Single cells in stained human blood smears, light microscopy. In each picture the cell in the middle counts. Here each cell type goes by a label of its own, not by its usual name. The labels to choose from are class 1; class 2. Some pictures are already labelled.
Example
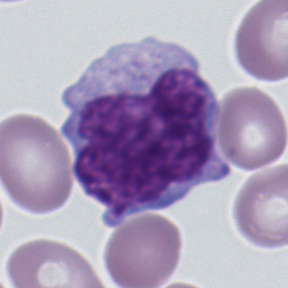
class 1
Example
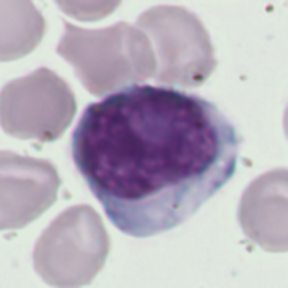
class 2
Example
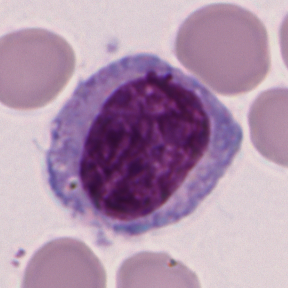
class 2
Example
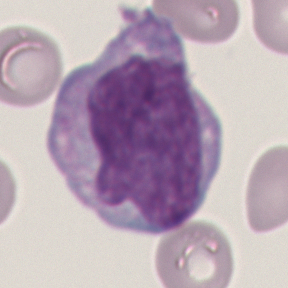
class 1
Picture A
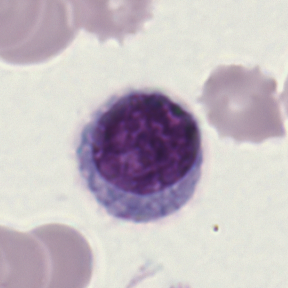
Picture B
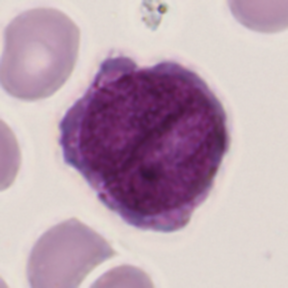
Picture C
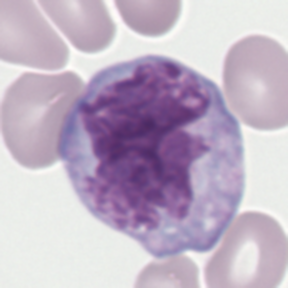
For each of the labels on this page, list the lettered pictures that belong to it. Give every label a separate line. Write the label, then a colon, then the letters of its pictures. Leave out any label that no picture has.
class 1: B, C
class 2: A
